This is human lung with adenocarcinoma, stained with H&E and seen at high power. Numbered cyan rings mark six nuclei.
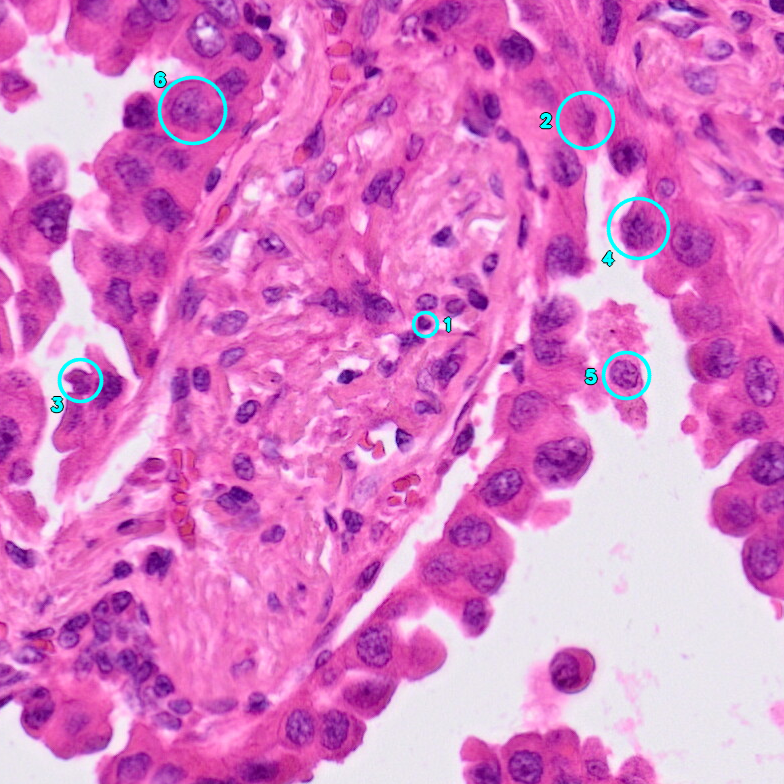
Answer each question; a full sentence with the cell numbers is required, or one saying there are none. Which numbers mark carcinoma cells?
Cells 2, 3, 4 and 6 are carcinoma cells by cell type.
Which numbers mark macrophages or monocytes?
Among the cells marked with numbers, the only one that is a macrophage or monocyte is number 5.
